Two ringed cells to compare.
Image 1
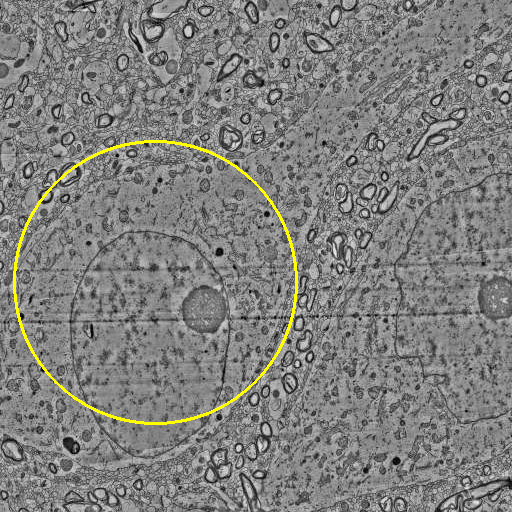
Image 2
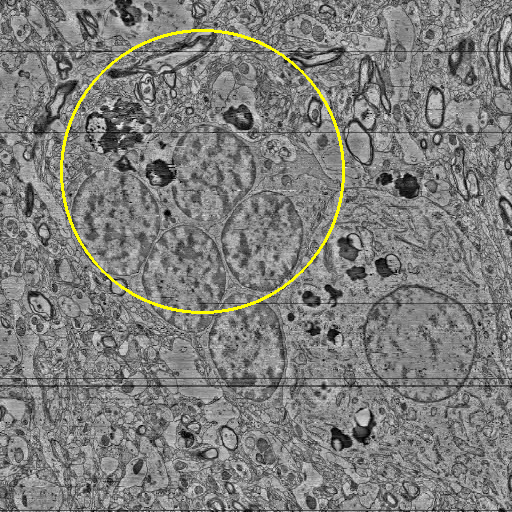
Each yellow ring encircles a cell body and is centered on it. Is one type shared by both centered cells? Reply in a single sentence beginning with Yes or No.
No, two types are found among the cells at the centers of the rings.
